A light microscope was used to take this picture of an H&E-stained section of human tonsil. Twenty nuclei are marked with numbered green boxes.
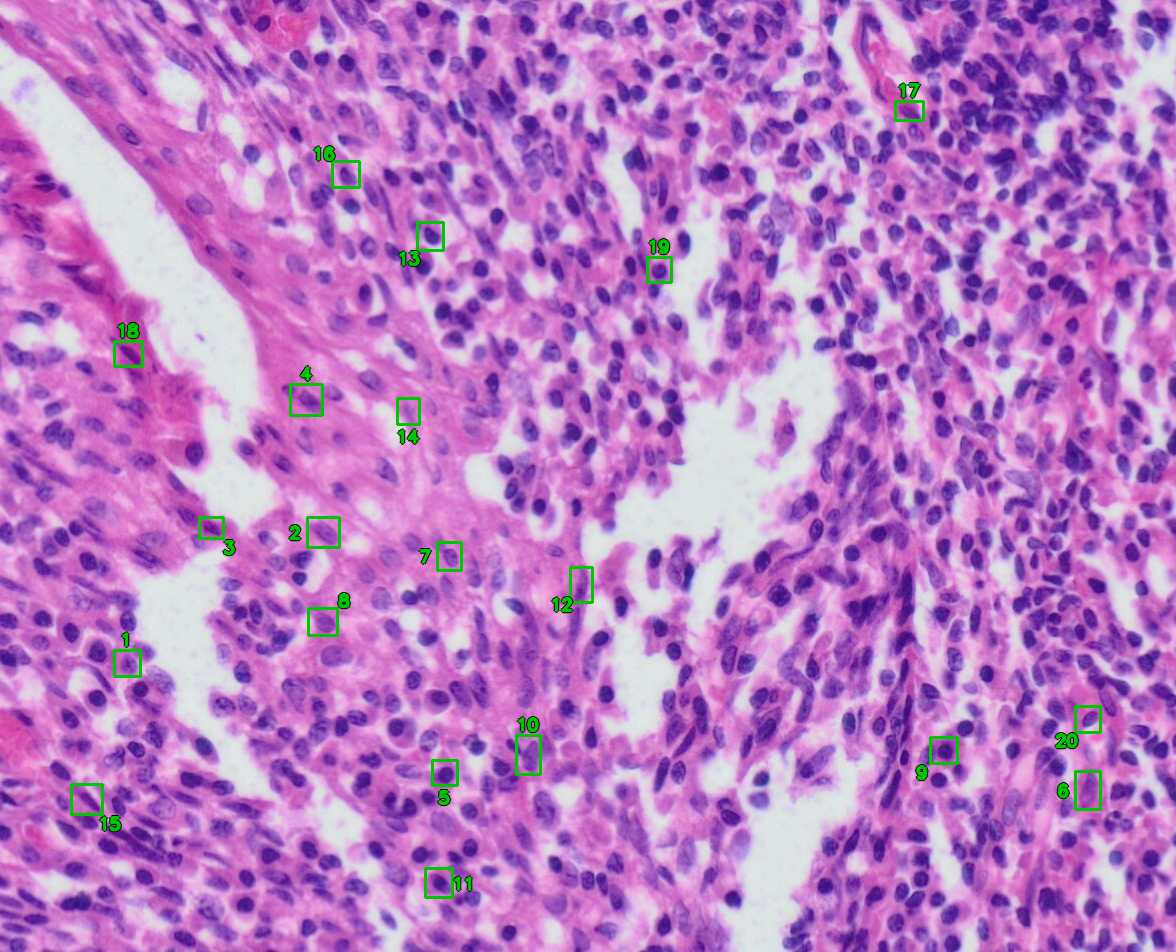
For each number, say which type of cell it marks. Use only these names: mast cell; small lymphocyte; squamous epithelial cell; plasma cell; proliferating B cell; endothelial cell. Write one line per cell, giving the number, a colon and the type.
1: plasma cell
2: squamous epithelial cell
3: squamous epithelial cell
4: squamous epithelial cell
5: plasma cell
6: endothelial cell
7: squamous epithelial cell
8: squamous epithelial cell
9: plasma cell
10: squamous epithelial cell
11: plasma cell
12: squamous epithelial cell
13: plasma cell
14: squamous epithelial cell
15: squamous epithelial cell
16: plasma cell
17: endothelial cell
18: squamous epithelial cell
19: plasma cell
20: endothelial cell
